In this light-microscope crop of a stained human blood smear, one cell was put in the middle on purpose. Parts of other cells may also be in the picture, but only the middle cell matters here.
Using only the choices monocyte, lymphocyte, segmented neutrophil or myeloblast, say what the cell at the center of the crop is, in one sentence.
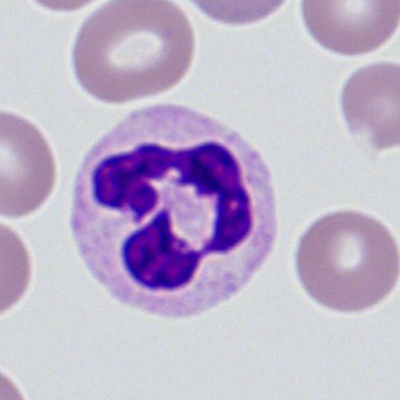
Regarding the central cell, it is a segmented neutrophil.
